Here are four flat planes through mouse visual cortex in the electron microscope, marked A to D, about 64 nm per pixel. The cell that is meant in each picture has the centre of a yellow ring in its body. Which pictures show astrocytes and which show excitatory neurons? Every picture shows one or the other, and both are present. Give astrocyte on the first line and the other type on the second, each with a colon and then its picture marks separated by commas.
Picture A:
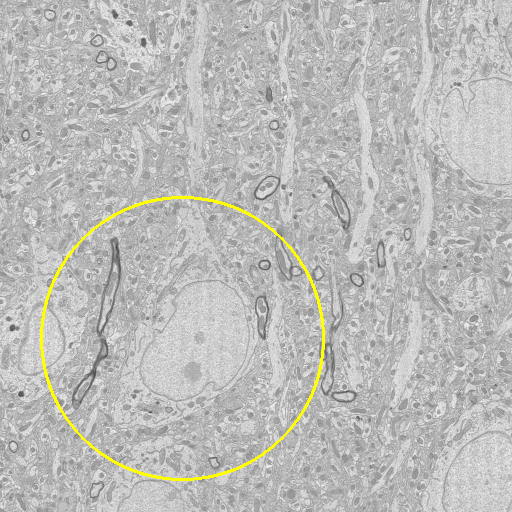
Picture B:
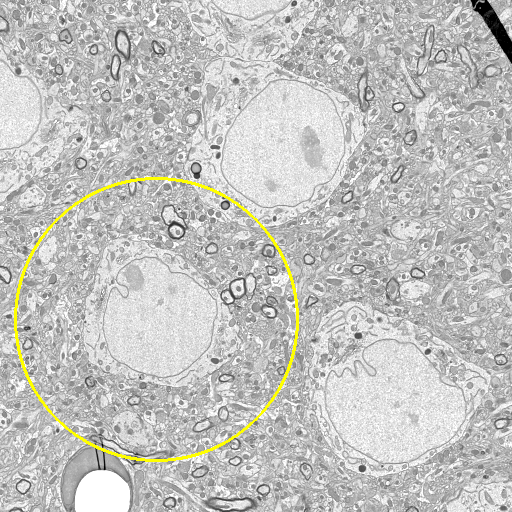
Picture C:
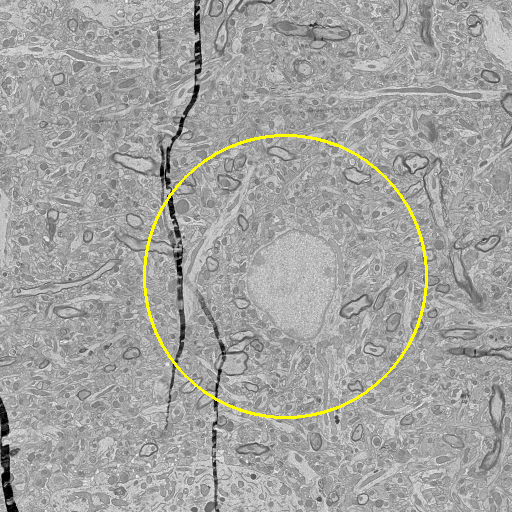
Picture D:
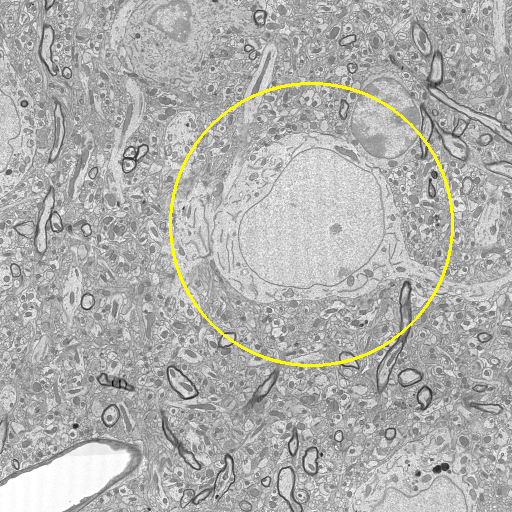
astrocyte: C
excitatory neuron: A, B, D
